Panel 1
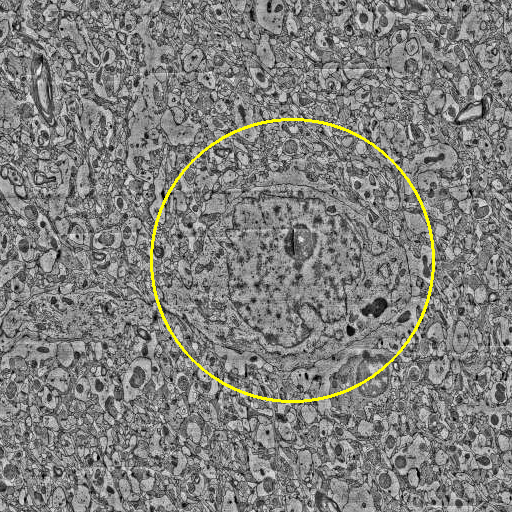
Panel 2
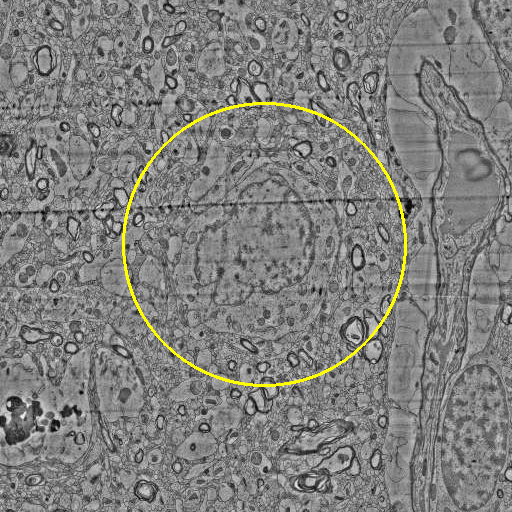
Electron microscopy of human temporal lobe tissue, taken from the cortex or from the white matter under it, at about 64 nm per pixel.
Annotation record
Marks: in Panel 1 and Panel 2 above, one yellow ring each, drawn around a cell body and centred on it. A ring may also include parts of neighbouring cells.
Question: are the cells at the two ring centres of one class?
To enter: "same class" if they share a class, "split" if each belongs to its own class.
same class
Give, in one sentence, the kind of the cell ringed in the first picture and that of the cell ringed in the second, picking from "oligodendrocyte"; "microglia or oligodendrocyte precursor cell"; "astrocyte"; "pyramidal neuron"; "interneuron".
In the first picture and in the second, the ring is centred on an interneuron.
